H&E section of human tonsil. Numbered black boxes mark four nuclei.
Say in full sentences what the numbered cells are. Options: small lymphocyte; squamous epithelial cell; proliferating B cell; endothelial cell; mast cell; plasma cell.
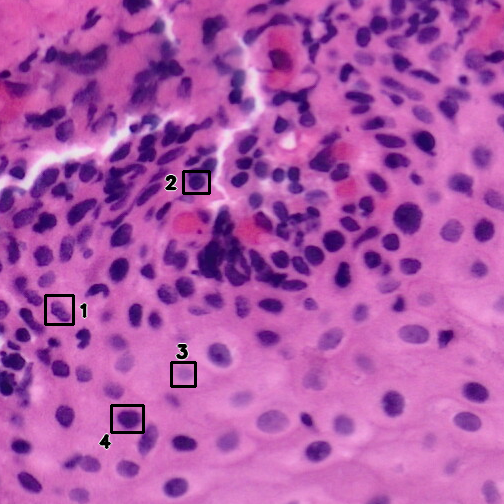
Cell 1 is a squamous epithelial cell, cell 2 is a plasma cell, cell 3 is a squamous epithelial cell and cell 4 is a squamous epithelial cell.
